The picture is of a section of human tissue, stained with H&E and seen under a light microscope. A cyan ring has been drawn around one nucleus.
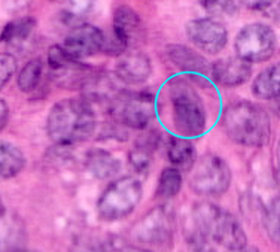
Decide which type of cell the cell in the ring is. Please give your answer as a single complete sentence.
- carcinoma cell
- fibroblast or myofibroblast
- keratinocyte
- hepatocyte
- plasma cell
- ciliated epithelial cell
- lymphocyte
Recorded by type, the cell in the ring is a ciliated epithelial cell.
